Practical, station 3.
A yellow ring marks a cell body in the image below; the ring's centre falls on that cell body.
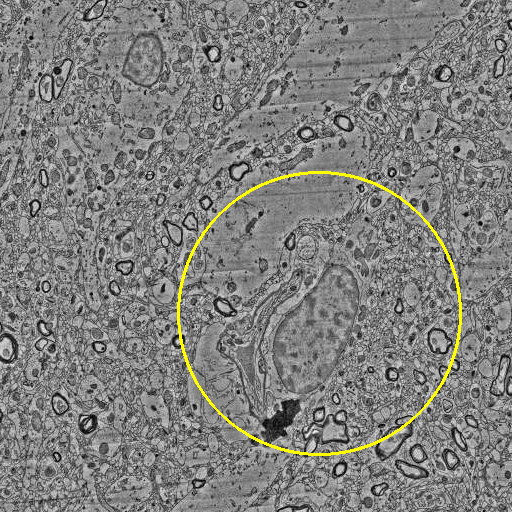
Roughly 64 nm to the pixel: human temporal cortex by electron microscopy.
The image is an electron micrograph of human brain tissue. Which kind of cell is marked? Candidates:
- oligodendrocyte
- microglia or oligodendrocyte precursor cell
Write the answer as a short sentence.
The marked cell body is that of an oligodendrocyte.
